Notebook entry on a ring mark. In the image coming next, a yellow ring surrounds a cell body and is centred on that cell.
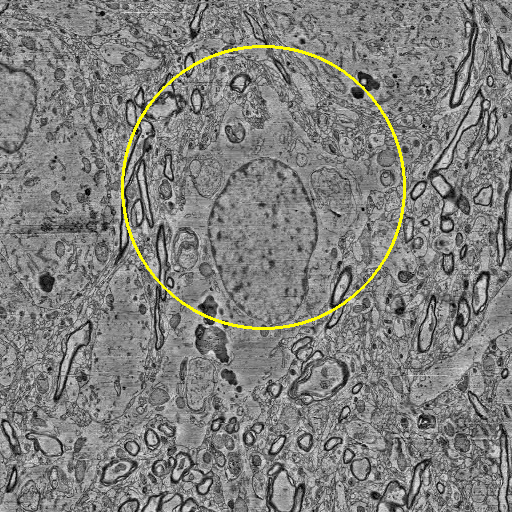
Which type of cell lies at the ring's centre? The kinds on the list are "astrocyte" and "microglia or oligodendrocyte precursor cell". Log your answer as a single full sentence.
Centred in the yellow ring is an astrocyte, the cell recorded for this image.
